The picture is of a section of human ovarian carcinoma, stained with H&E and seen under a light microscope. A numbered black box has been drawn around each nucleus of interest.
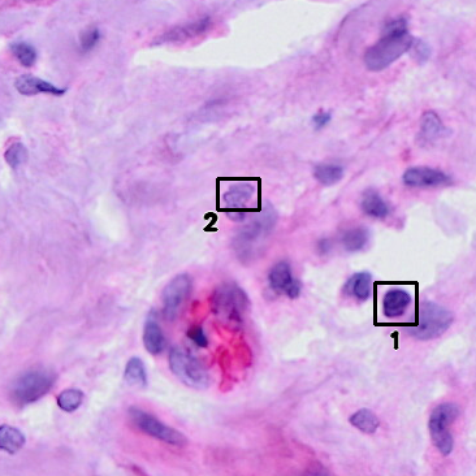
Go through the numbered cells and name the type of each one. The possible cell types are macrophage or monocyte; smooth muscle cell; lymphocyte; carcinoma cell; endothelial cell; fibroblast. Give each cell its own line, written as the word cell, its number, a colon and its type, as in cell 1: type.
cell 1: lymphocyte
cell 2: macrophage or monocyte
